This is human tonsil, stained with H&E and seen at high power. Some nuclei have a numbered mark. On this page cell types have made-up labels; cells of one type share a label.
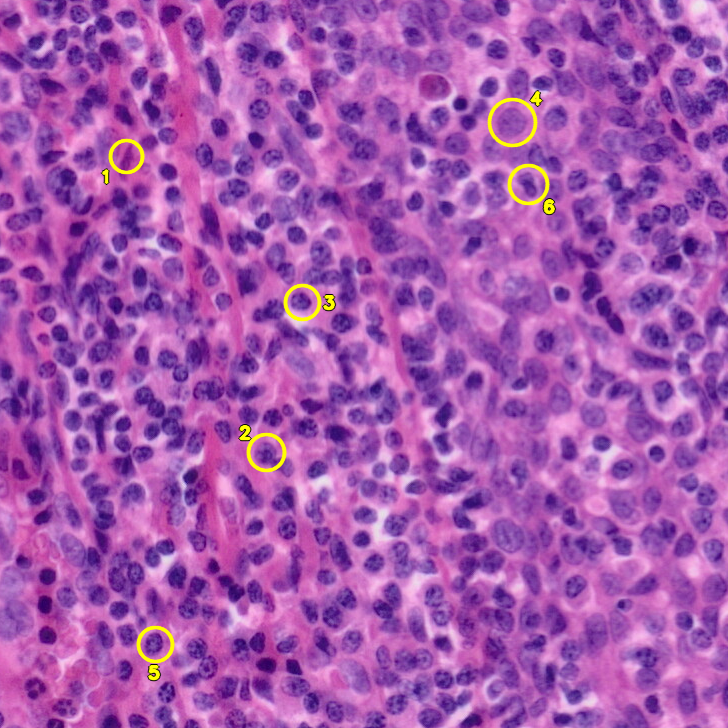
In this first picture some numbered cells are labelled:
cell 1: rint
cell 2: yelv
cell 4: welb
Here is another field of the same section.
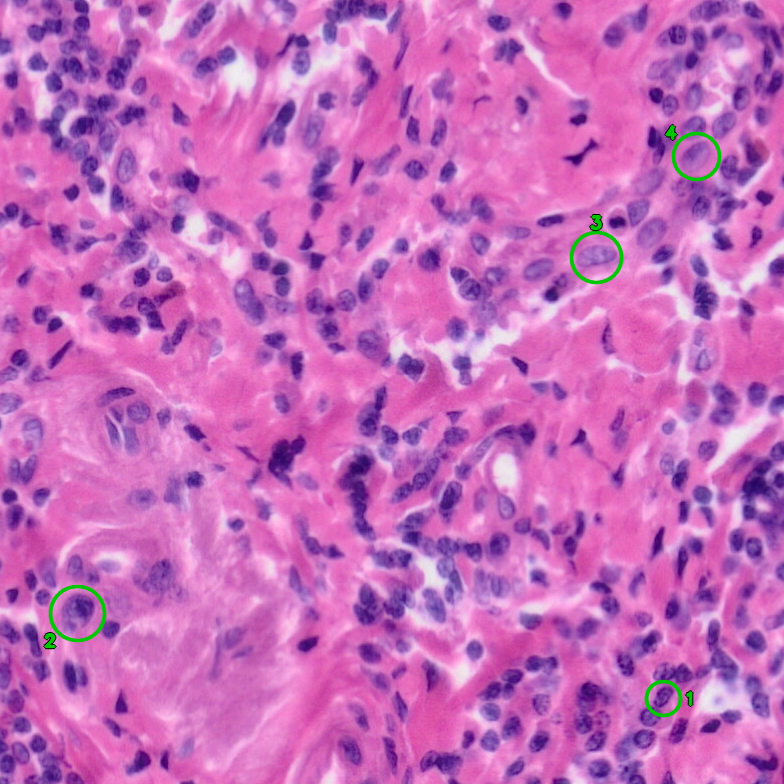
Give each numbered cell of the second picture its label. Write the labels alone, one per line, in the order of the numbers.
yelv
rint
rint
rint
